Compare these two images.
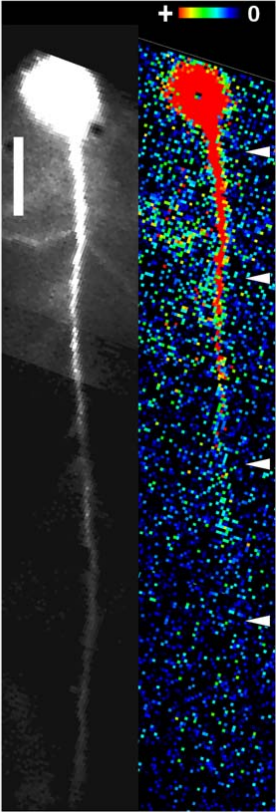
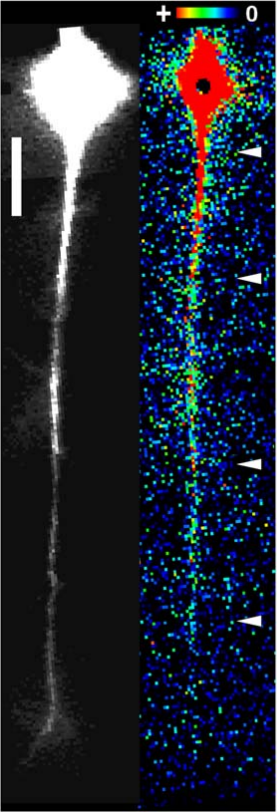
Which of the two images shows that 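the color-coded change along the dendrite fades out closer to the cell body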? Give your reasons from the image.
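The first image. Second image: red and green colors continue further down the dendrite, past the second arrowhead.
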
